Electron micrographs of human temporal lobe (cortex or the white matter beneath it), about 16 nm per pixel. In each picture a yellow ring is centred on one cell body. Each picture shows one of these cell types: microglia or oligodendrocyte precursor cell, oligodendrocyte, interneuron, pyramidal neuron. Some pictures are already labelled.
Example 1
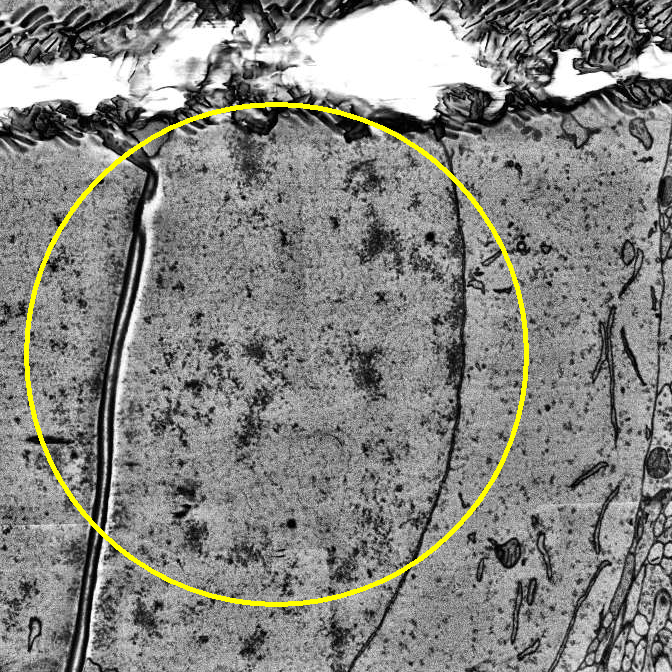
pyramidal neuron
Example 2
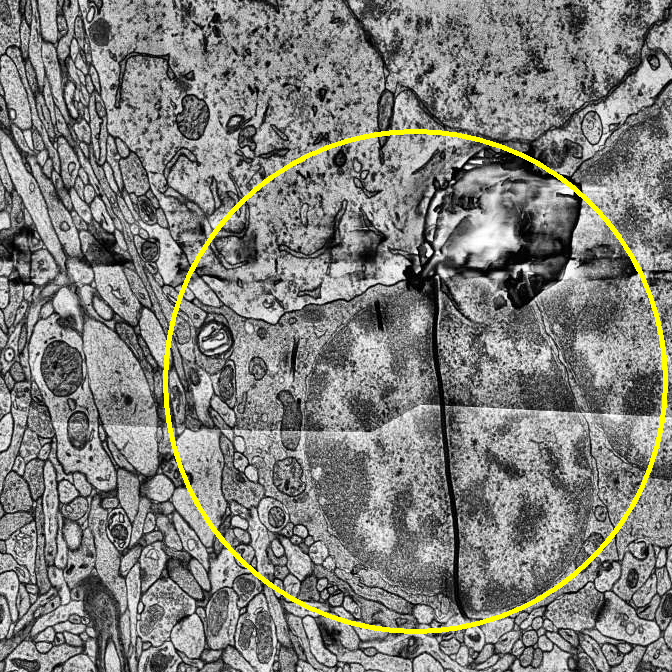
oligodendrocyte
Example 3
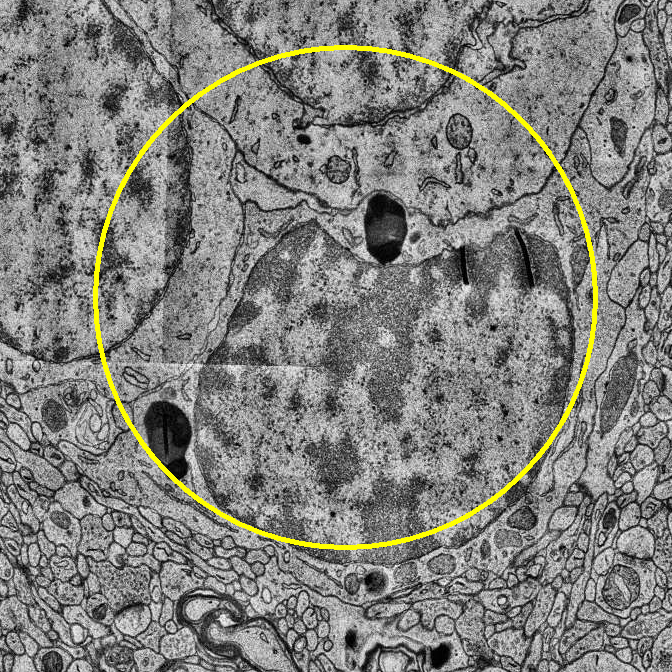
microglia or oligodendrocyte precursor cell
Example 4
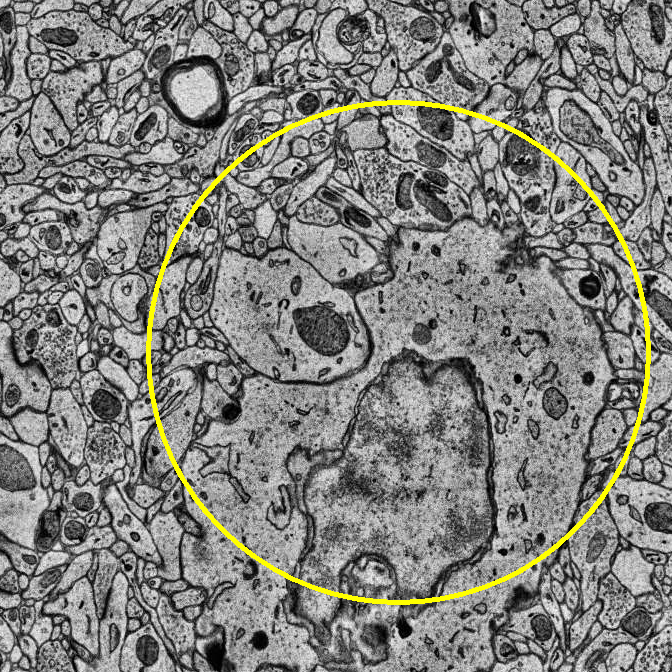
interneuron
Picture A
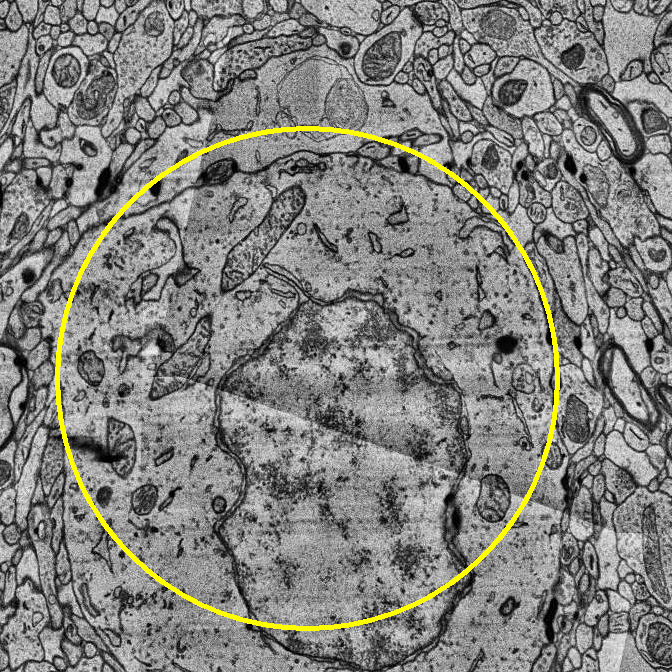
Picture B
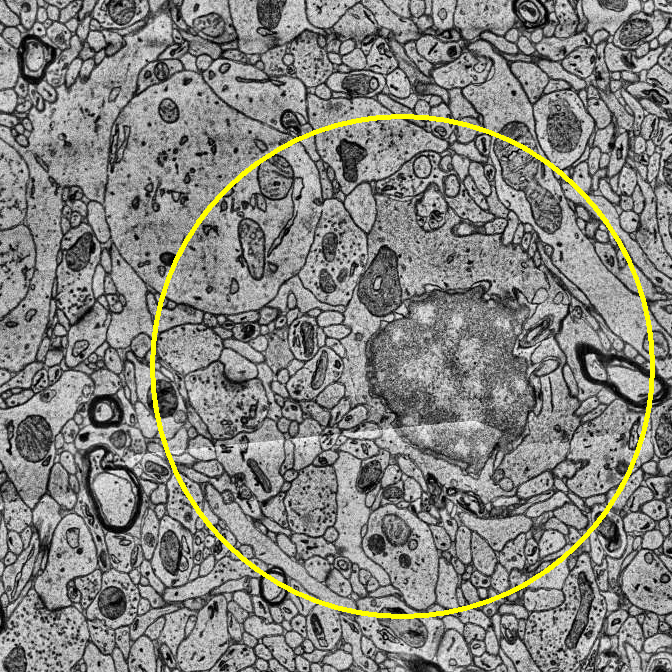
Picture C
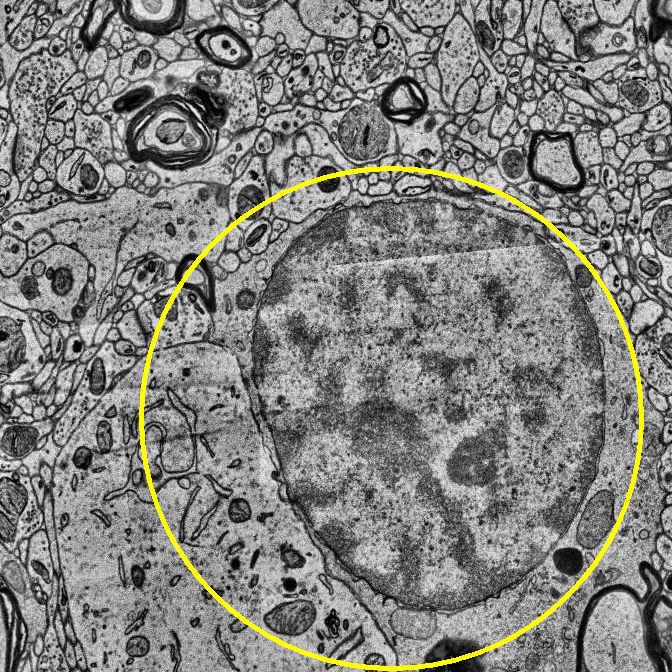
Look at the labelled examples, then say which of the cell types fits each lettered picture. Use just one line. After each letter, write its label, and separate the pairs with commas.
A pyramidal neuron, B oligodendrocyte, C oligodendrocyte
